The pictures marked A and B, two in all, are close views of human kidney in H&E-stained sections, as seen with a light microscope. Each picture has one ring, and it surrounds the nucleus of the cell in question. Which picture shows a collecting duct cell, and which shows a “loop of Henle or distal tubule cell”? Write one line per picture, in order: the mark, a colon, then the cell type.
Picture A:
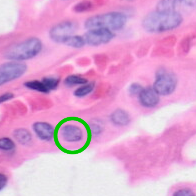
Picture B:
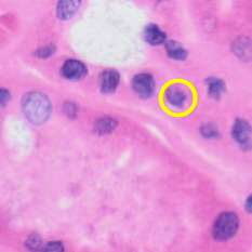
A: collecting duct cell
B: loop of Henle or distal tubule cell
